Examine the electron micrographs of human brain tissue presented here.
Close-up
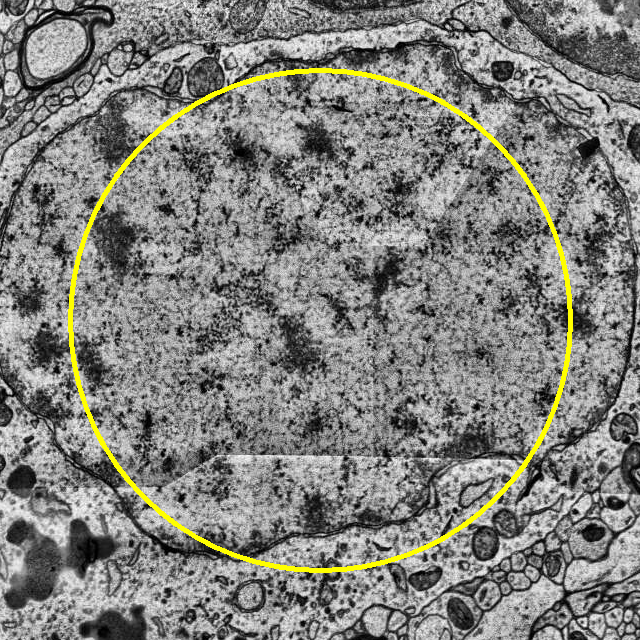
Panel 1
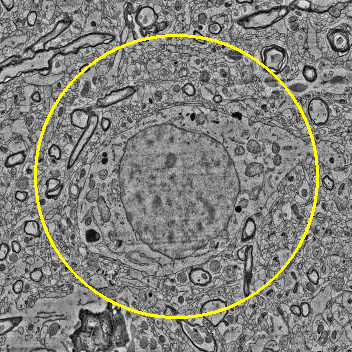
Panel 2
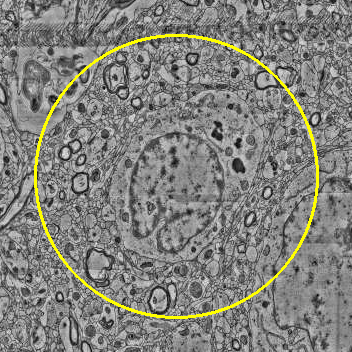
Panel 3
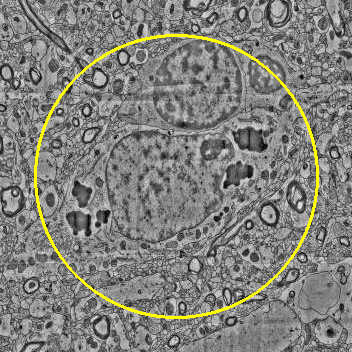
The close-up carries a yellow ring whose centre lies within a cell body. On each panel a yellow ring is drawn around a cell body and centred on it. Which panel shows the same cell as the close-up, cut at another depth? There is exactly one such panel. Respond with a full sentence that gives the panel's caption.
The cell seen up close is the one ringed within Panel 3.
